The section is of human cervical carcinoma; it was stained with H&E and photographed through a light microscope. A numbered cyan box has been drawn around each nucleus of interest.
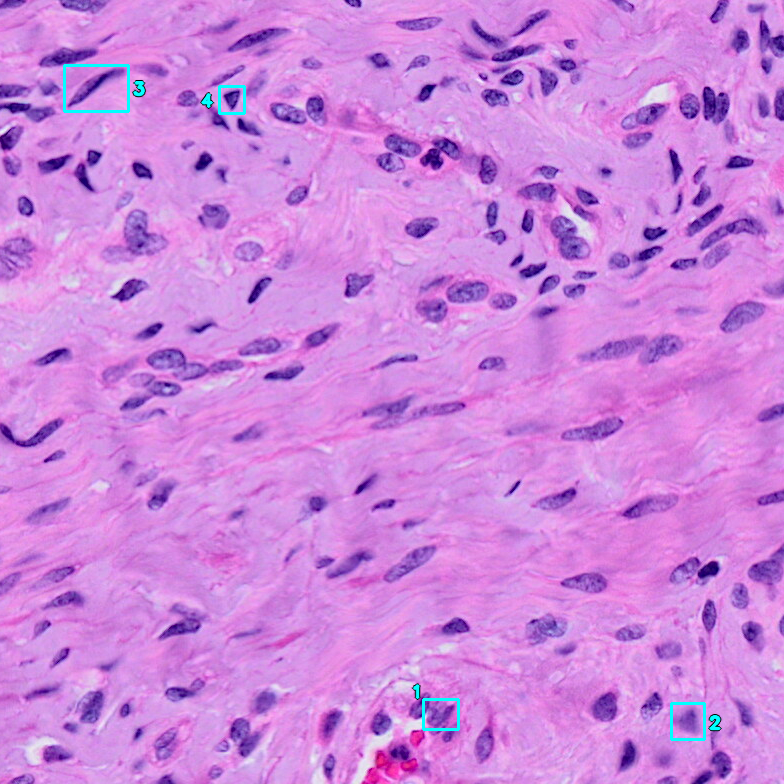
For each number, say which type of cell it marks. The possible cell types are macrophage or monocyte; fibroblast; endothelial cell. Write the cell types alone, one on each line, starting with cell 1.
endothelial cell
fibroblast
fibroblast
fibroblast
